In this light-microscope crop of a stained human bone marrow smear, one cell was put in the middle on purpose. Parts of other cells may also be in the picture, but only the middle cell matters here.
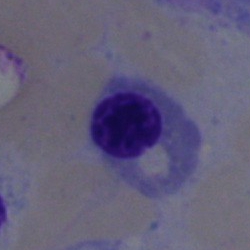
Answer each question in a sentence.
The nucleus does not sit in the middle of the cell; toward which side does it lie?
The nucleus sits off-centre, toward the upper left.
